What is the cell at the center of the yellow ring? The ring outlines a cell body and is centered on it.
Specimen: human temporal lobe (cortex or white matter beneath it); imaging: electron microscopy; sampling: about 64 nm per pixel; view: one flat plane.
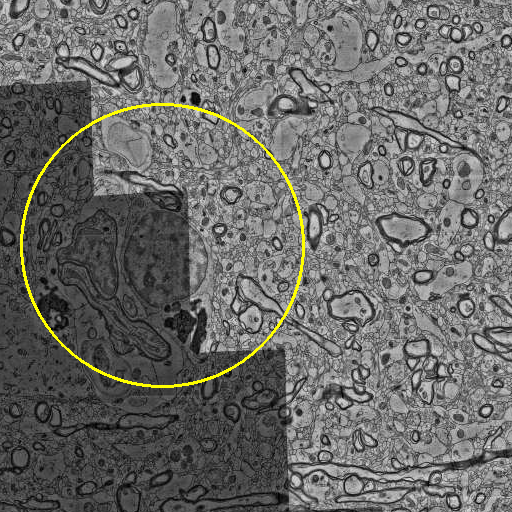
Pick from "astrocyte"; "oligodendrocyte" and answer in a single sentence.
The yellow ring is centered on an oligodendrocyte.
